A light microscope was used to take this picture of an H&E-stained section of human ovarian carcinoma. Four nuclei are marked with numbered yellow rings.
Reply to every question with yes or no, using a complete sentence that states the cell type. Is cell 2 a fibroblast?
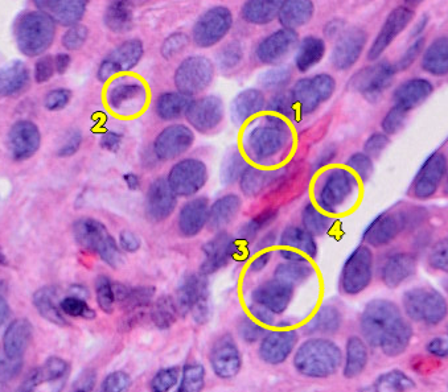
Yes, regarding number 2, the cell is a fibroblast.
